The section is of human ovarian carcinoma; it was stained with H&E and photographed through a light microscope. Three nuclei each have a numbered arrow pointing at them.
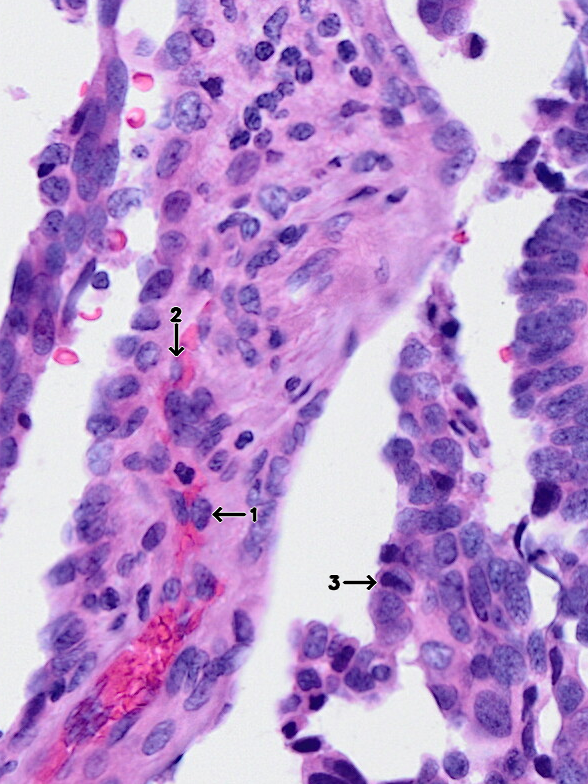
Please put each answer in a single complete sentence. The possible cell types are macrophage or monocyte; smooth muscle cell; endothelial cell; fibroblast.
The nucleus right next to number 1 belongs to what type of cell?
The nearest nucleus to number 1 belongs to an endothelial cell.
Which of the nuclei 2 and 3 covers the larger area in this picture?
Number 3 is larger; its area is about 2 times that of number 2.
